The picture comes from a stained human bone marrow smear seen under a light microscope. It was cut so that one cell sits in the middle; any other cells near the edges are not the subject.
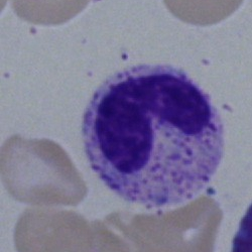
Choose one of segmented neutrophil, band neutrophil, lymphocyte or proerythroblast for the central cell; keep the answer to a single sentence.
The cell that lies at the centre of the crop is a band neutrophil.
